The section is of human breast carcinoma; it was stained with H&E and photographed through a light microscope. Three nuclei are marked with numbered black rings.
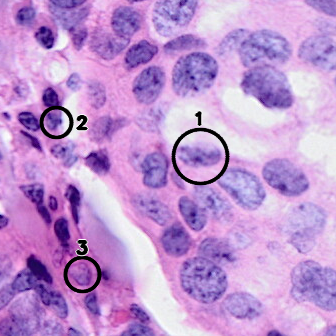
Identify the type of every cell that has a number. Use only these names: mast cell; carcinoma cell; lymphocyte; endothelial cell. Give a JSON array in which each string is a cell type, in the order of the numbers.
["carcinoma cell", "lymphocyte", "endothelial cell"]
